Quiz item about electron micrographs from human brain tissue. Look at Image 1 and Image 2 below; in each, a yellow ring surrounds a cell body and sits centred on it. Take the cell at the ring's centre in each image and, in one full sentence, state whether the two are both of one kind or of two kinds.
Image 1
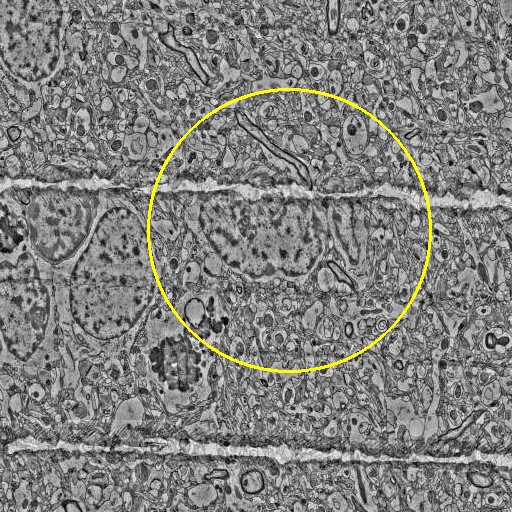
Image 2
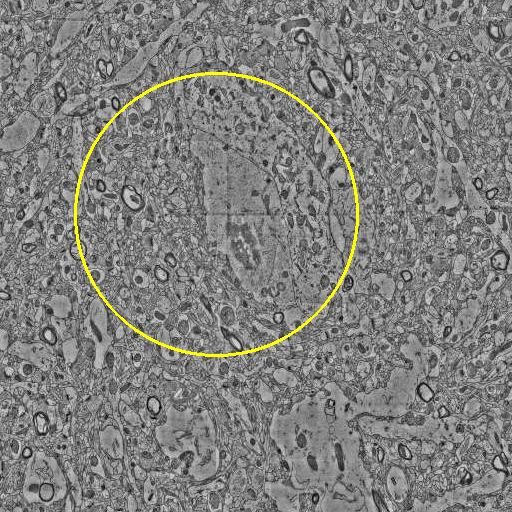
In Image 1 and Image 2, the cells at the ring centres are both of one kind.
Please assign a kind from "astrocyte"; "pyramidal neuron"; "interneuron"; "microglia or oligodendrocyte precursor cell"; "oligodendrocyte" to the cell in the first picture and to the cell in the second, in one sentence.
Each of the ringed cells, first and second, is a microglial cell or oligodendrocyte precursor cell.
